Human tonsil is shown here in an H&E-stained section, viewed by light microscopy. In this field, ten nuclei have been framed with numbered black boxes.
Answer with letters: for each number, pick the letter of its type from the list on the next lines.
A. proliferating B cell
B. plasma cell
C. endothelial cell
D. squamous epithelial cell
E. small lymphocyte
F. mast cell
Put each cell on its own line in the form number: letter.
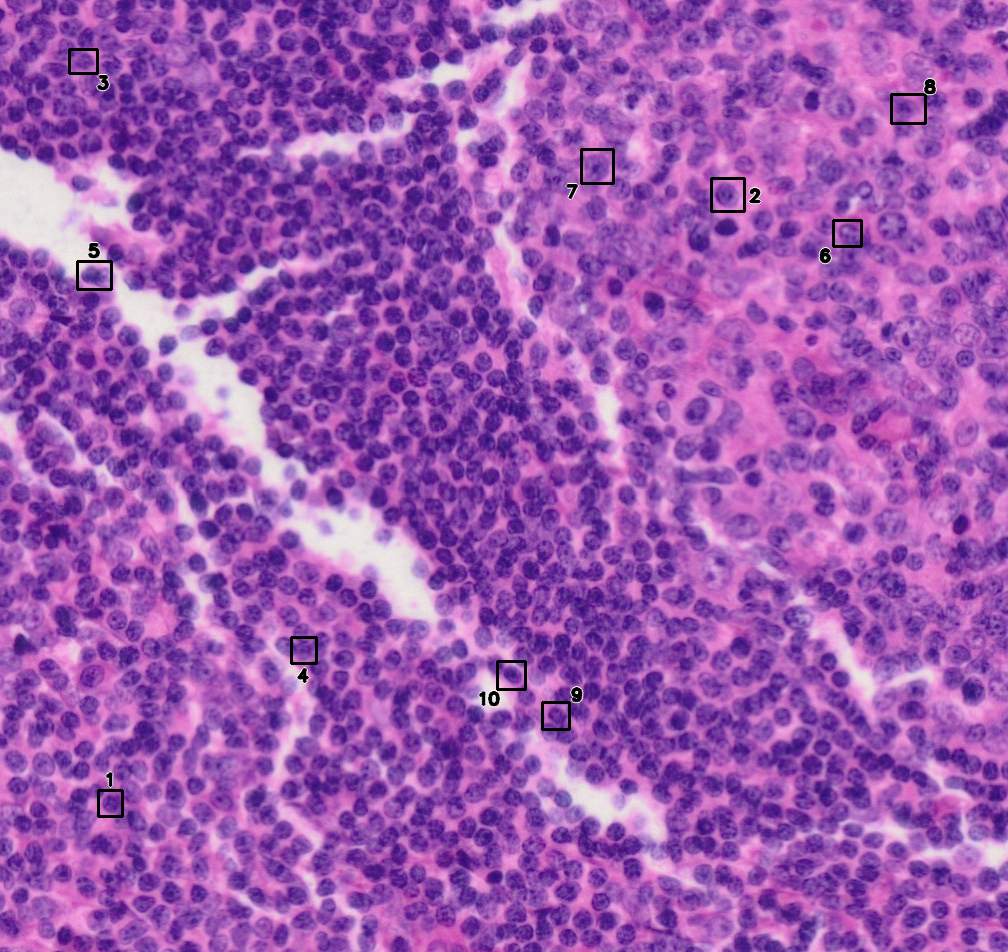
1: E
2: A
3: E
4: E
5: E
6: A
7: A
8: A
9: E
10: E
